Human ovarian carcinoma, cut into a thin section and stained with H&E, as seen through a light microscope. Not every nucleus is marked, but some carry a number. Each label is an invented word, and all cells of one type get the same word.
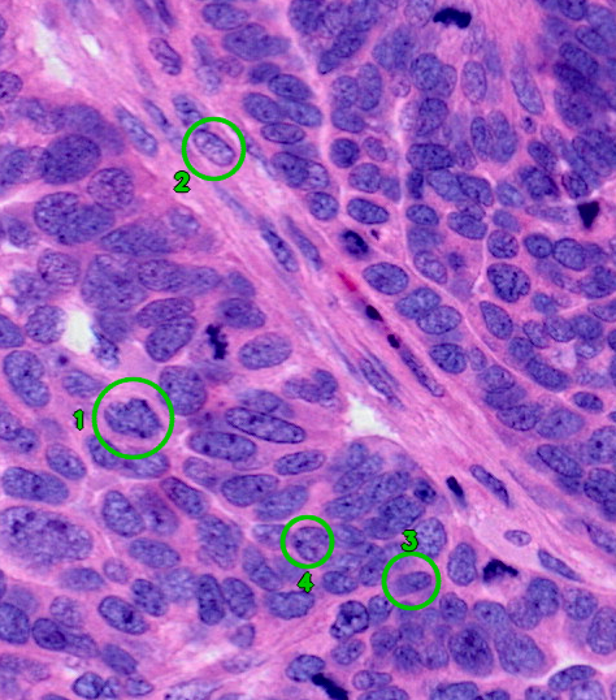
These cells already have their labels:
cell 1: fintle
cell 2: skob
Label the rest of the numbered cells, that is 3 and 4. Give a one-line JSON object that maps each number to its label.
{"3": "fintle", "4": "fintle"}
